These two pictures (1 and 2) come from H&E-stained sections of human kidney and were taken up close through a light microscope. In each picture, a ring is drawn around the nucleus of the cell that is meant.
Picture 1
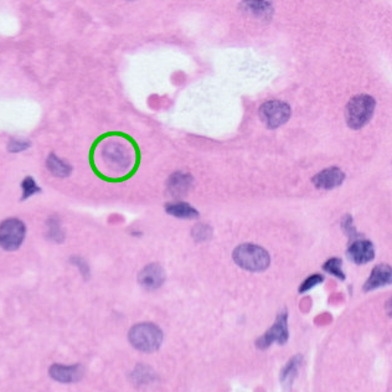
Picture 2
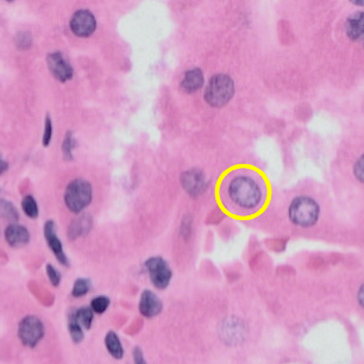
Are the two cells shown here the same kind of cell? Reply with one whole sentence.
Yes, both cells are proximal tubule cells.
